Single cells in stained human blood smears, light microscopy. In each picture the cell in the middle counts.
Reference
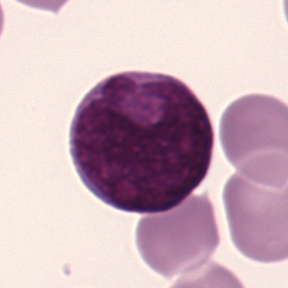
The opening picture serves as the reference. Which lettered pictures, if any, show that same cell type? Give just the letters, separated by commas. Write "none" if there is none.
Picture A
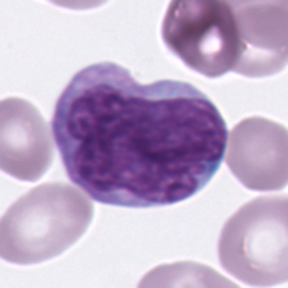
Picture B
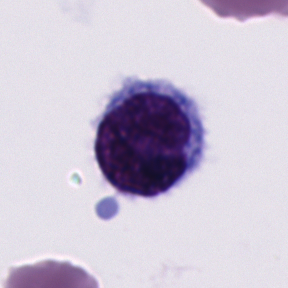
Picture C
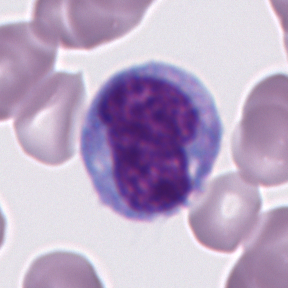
none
